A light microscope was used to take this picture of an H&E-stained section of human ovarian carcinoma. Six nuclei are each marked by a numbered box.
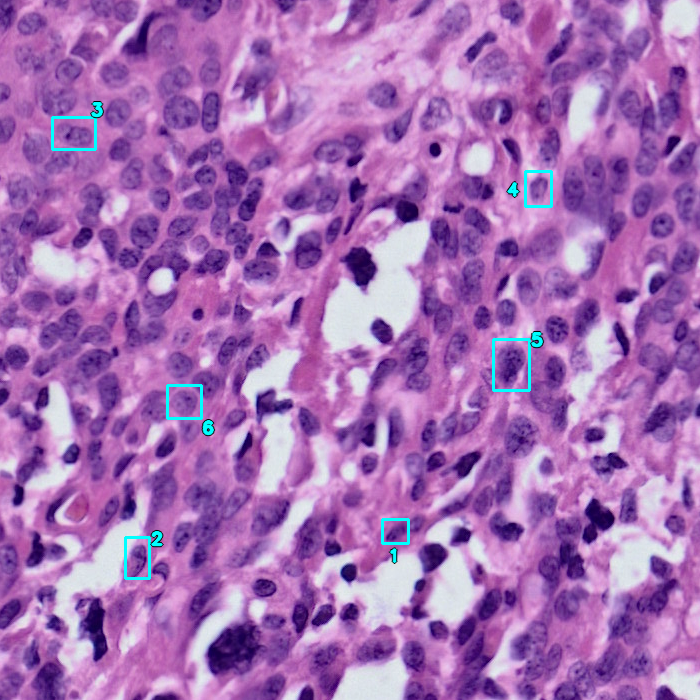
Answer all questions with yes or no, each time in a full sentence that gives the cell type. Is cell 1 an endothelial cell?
Yes, the cell indicated by number 1 is an endothelial cell.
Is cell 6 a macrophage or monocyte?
No, at number 6 sits a carcinoma cell, not a macrophage or monocyte.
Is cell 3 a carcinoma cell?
Yes, the number 3 belongs to a carcinoma cell.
